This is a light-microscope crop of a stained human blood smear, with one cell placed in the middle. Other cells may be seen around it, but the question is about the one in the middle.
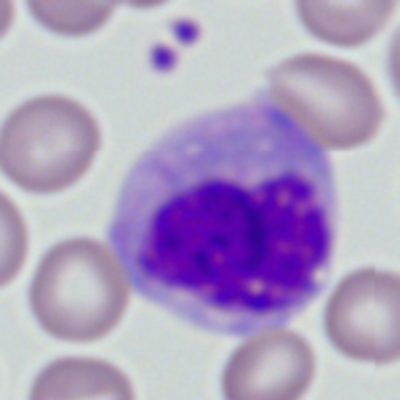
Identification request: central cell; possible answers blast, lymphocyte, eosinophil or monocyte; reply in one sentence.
The cell occupying the middle of the crop is a monocyte.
